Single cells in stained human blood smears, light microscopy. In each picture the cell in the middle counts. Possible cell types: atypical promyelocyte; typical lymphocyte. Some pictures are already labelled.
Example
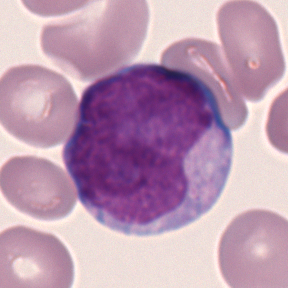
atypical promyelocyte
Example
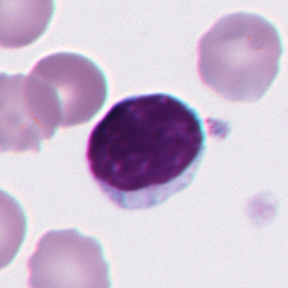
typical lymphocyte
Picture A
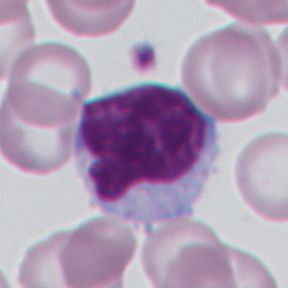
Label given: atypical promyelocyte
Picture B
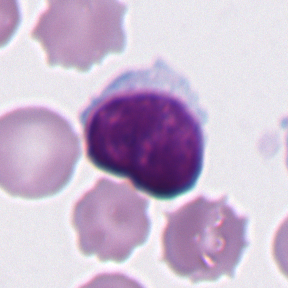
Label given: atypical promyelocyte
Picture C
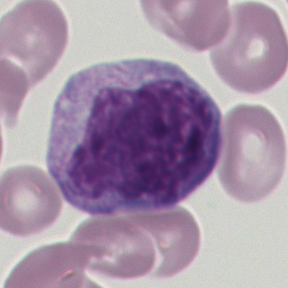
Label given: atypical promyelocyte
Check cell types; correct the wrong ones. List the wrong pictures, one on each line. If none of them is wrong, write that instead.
A: typical lymphocyte, not atypical promyelocyte
B: typical lymphocyte, not atypical promyelocyte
